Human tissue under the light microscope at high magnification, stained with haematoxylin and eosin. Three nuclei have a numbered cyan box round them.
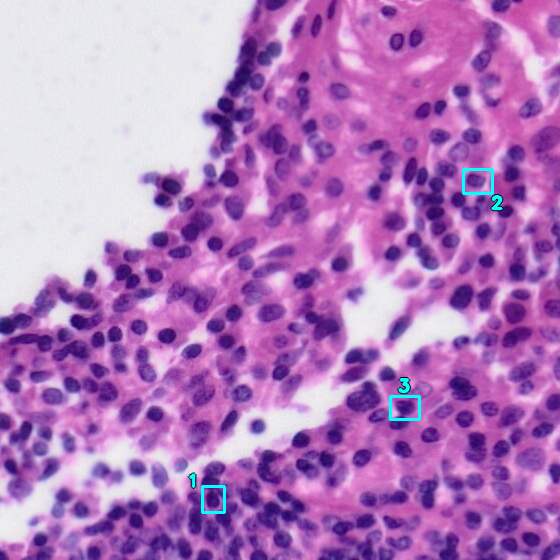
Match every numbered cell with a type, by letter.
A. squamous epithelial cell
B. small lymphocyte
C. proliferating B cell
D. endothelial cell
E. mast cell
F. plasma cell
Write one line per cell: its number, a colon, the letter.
1: B
2: F
3: F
